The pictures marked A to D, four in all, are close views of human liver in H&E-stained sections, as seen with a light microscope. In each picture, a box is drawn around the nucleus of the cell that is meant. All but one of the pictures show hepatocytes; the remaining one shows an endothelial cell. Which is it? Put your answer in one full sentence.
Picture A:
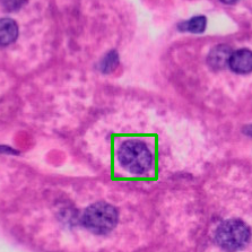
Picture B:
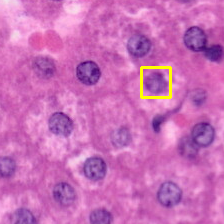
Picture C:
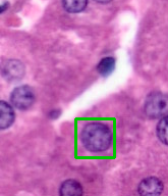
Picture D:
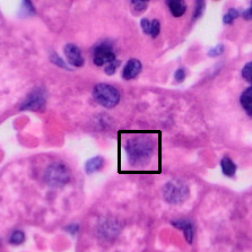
Picture D is the one that shows the endothelial cell.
